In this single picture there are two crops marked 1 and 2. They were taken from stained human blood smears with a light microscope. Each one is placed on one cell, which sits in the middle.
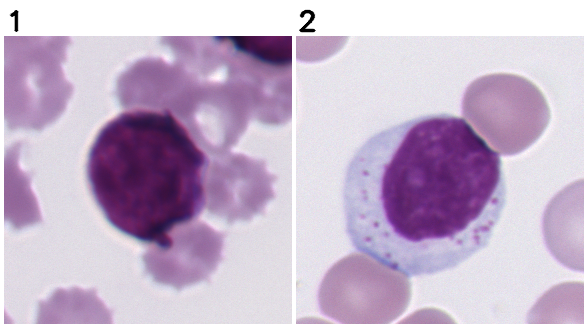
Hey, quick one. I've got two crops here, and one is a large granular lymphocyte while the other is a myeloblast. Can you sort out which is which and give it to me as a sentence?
Crop 1 features a myeloblast, while crop 2 features a large granular lymphocyte.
